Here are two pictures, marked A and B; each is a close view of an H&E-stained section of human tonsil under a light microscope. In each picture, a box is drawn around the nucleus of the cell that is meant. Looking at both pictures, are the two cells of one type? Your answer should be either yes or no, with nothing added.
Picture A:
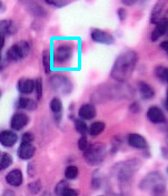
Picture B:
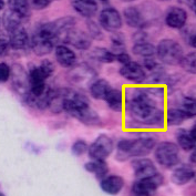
no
